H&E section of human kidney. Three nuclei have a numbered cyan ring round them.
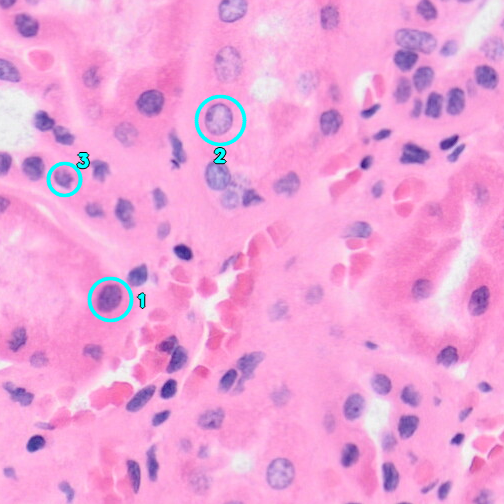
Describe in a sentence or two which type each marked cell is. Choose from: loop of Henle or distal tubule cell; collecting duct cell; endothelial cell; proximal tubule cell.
Cell 1 is a proximal tubule cell, cell 2 is a proximal tubule cell and cell 3 is a loop of Henle or distal tubule cell.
